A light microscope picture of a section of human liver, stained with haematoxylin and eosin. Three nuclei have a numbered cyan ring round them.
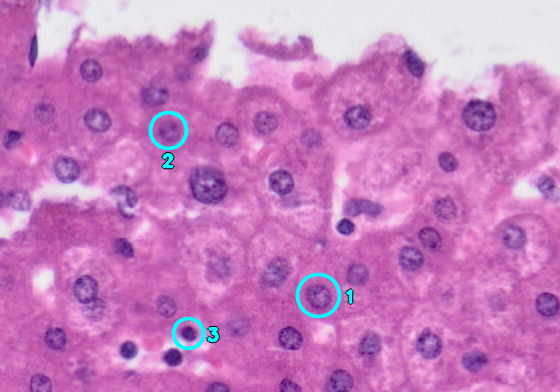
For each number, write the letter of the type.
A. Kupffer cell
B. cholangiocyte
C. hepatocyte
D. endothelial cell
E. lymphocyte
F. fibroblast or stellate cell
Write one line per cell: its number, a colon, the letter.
1: C
2: C
3: E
